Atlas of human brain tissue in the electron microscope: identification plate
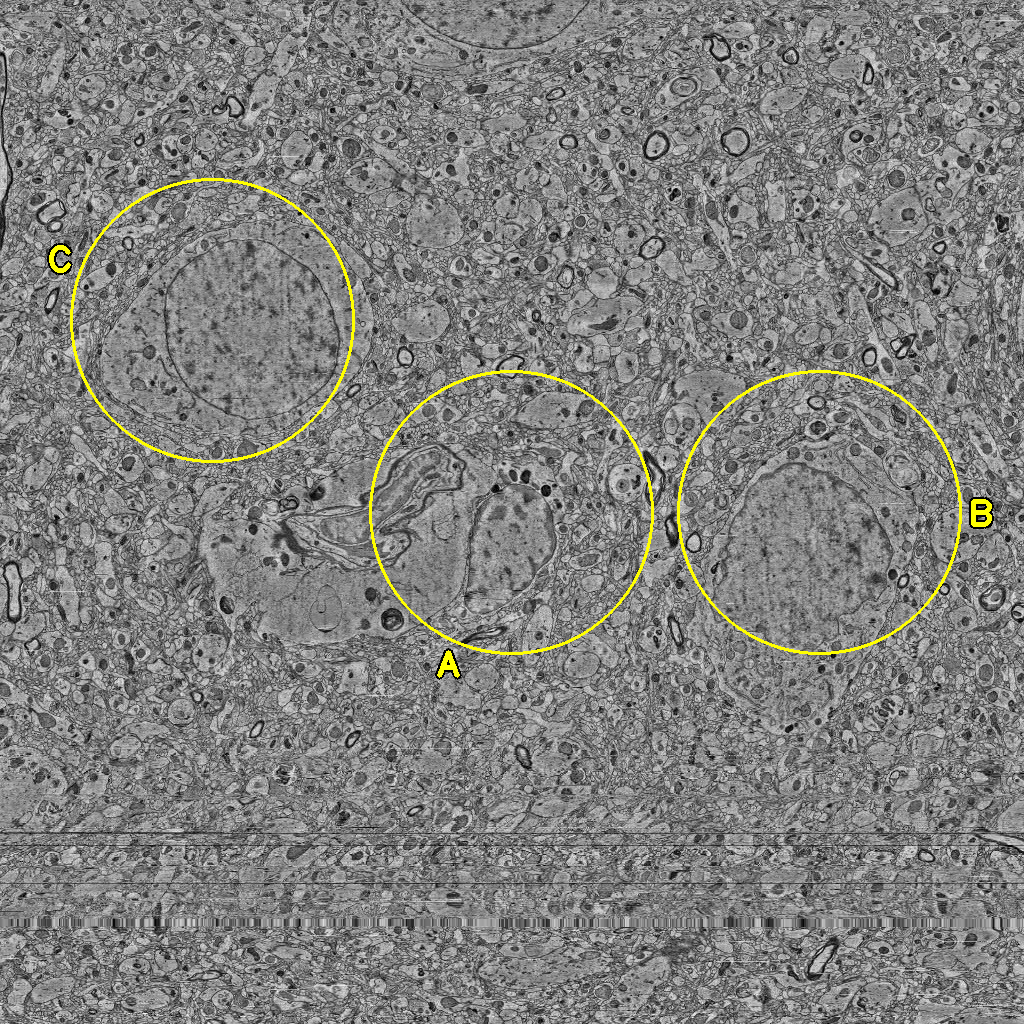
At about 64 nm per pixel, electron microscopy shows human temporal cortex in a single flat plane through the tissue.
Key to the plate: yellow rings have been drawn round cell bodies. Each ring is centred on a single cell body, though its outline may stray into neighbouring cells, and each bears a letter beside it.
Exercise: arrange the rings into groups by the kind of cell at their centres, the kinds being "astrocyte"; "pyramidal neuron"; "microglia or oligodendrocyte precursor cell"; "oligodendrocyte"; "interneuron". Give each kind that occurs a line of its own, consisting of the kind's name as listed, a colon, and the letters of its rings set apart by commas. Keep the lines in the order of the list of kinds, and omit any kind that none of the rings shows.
pyramidal neuron: C
microglia or oligodendrocyte precursor cell: A
interneuron: B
